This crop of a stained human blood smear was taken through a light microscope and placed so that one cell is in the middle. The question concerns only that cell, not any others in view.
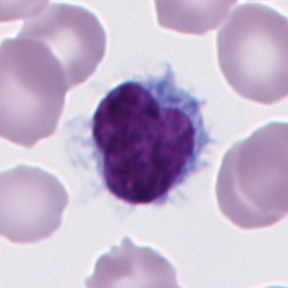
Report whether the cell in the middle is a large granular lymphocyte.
no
